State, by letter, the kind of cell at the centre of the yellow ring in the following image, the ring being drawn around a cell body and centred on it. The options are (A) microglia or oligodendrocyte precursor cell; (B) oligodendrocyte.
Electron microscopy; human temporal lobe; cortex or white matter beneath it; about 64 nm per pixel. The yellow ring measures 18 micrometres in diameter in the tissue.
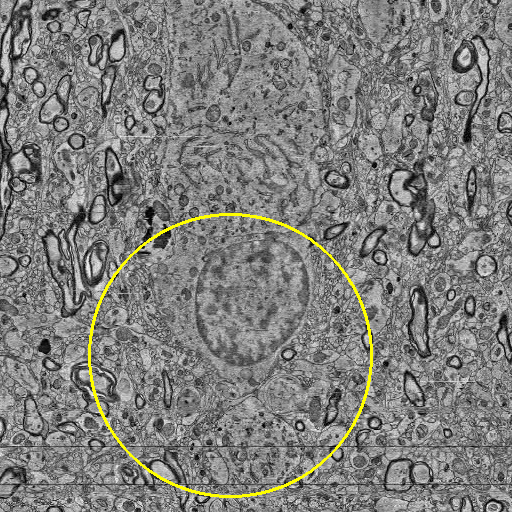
B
